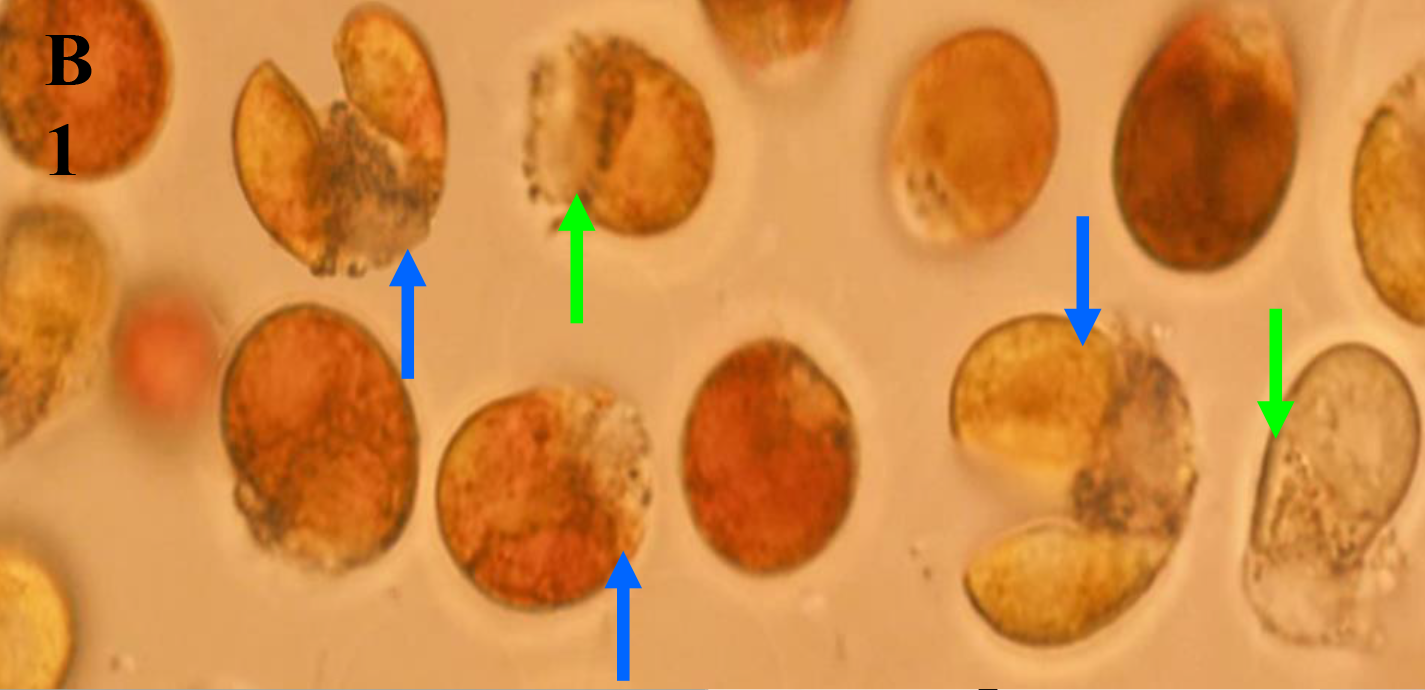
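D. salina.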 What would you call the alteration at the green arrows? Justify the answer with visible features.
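The arrowed cells have pale, granular contents spilling at one side.
Necrosis.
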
